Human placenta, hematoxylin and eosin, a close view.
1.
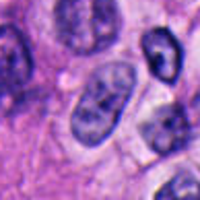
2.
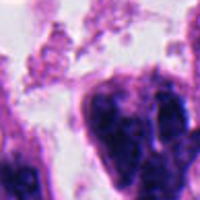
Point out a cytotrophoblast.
That is picture 1.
